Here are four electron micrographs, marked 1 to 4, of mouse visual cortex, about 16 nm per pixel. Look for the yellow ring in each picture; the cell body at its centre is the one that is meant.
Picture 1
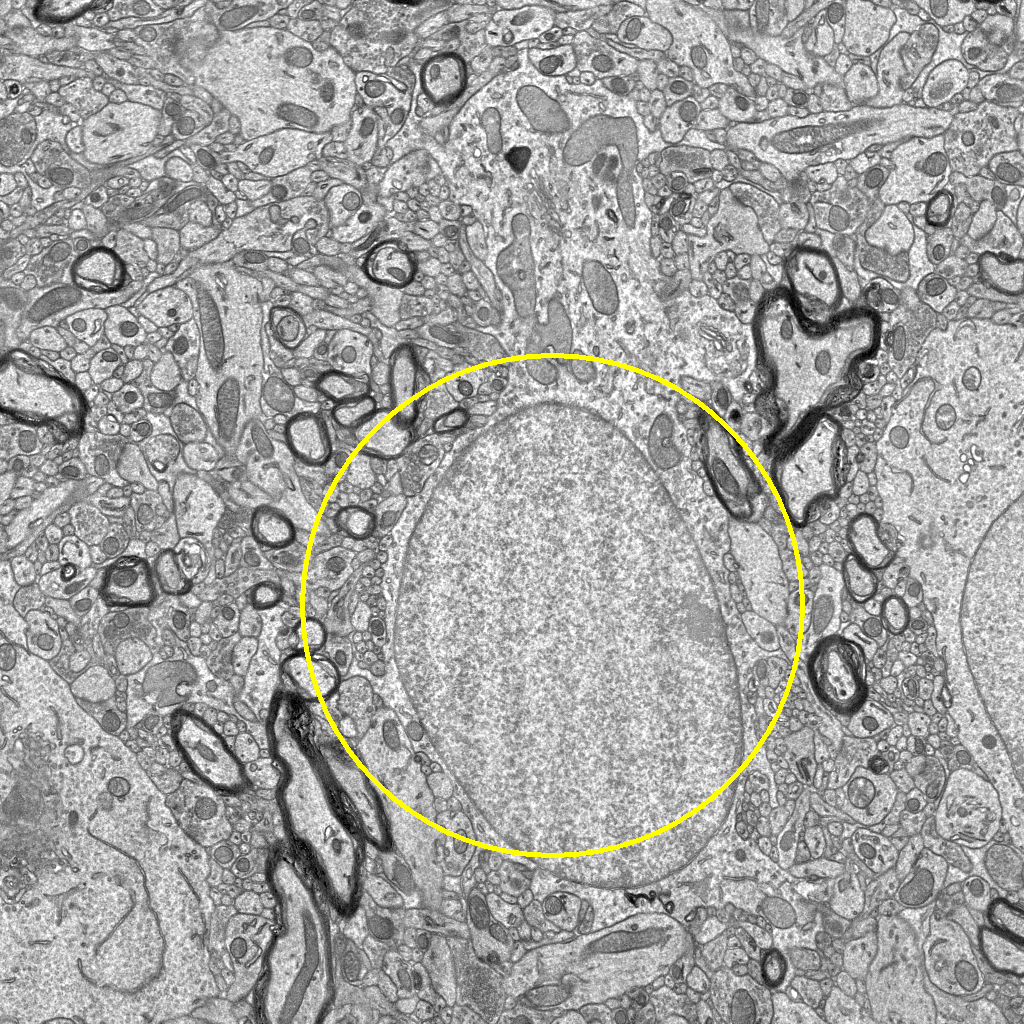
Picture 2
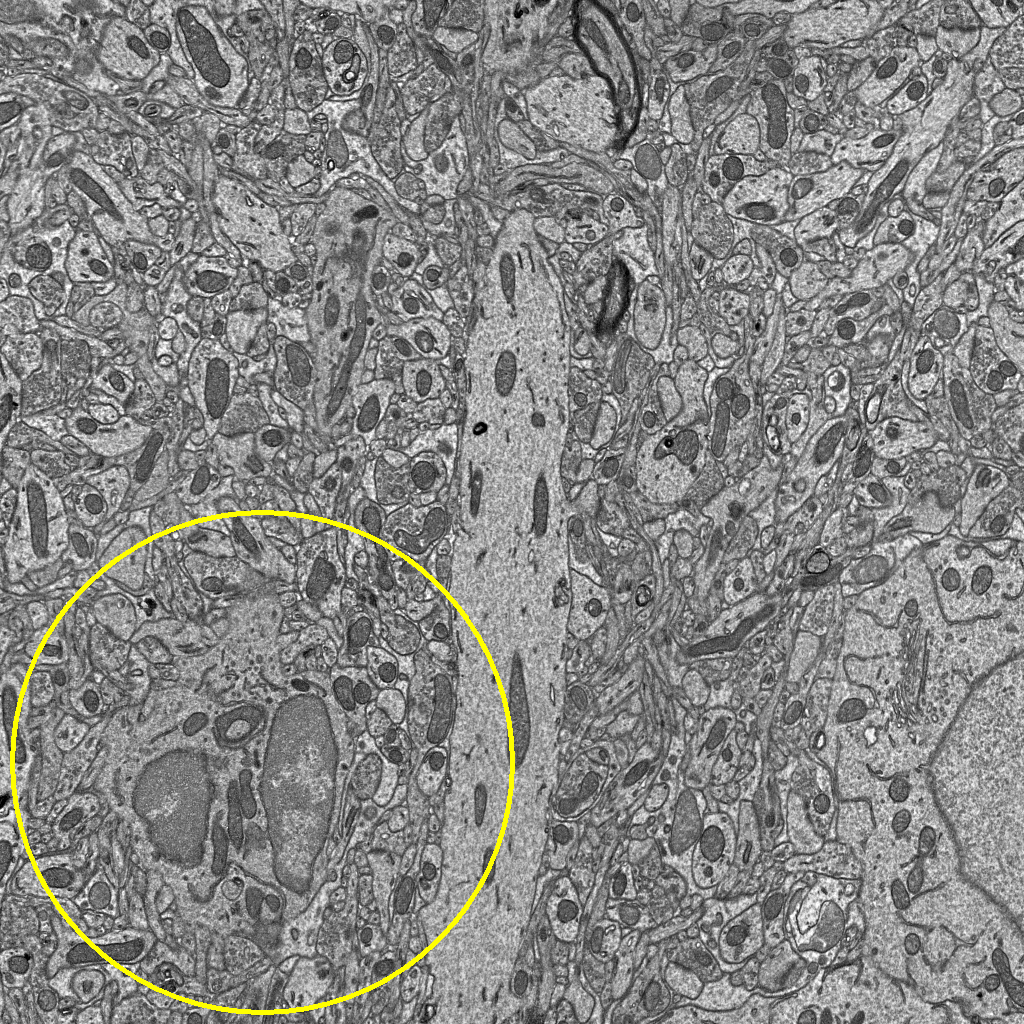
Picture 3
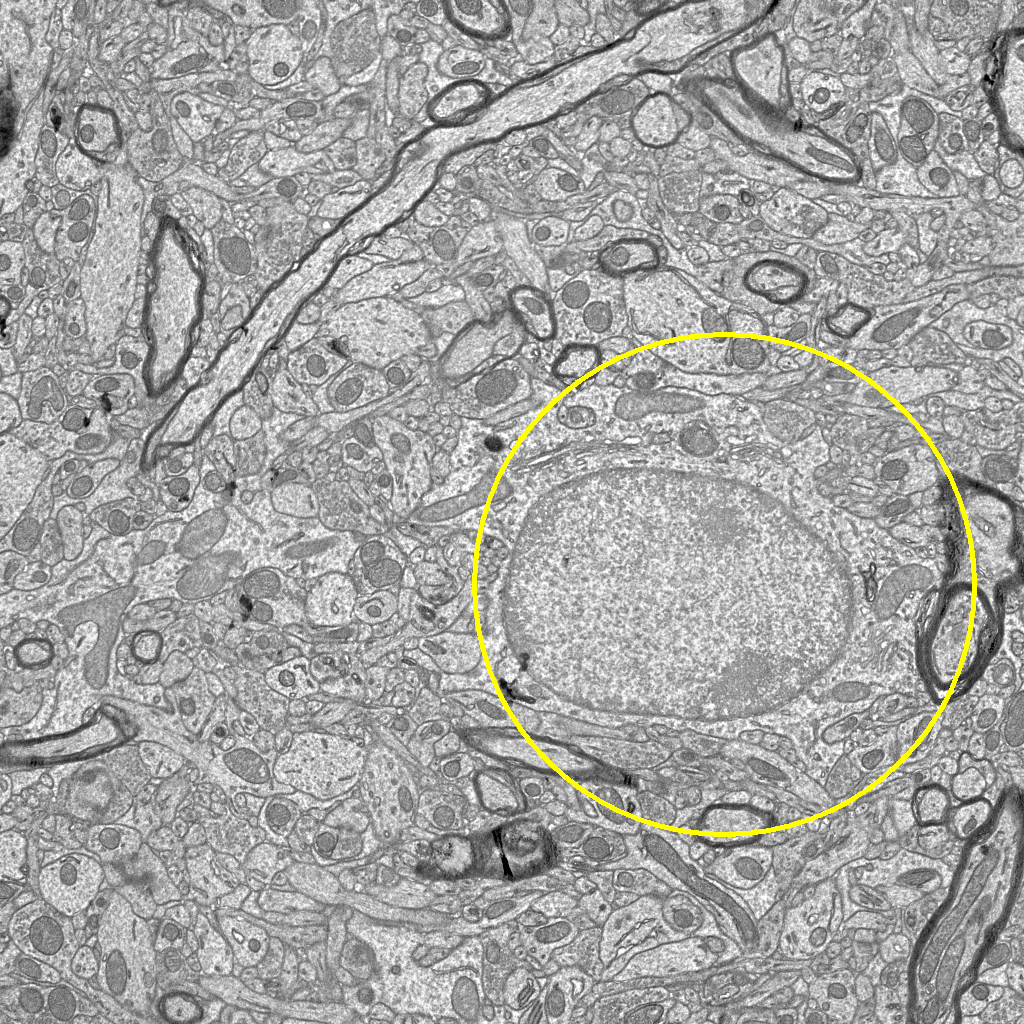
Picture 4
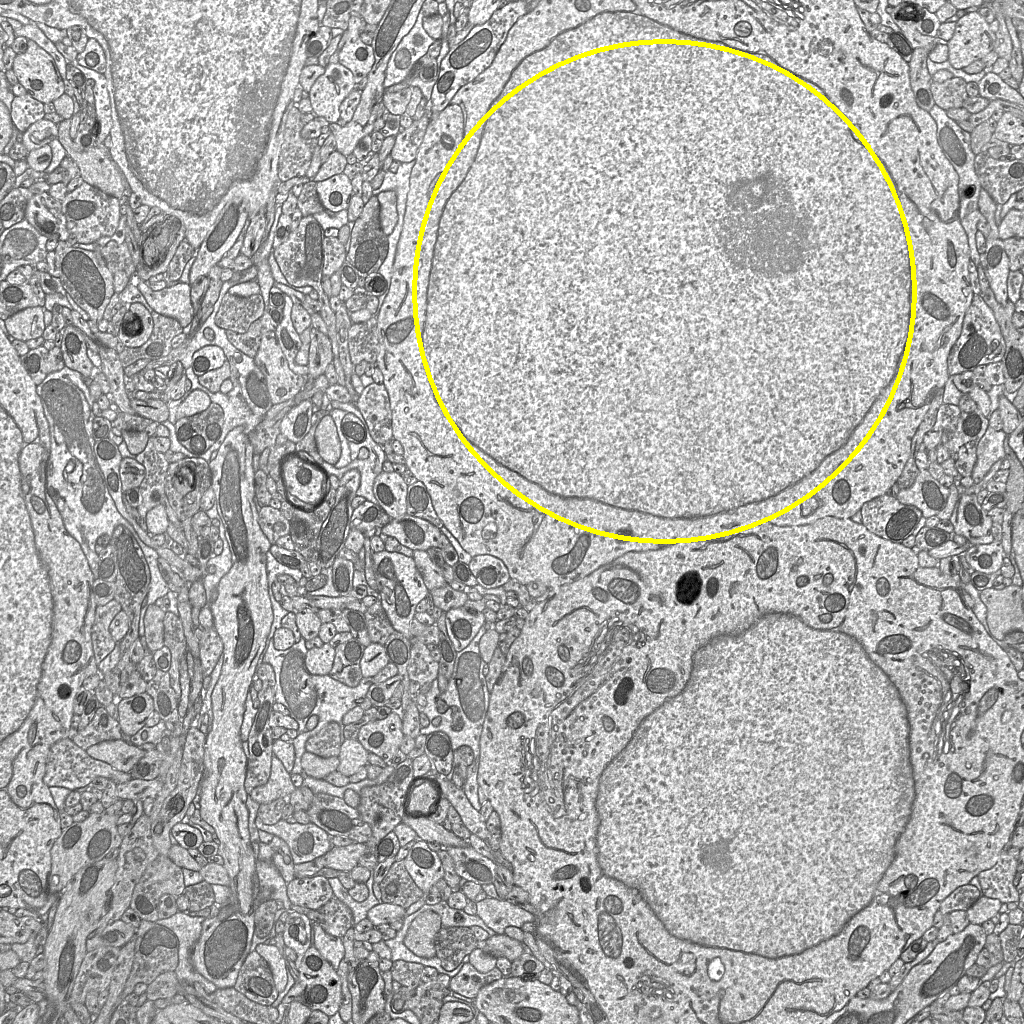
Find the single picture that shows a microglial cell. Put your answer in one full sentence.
Picture 2 shows the microglial cell.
